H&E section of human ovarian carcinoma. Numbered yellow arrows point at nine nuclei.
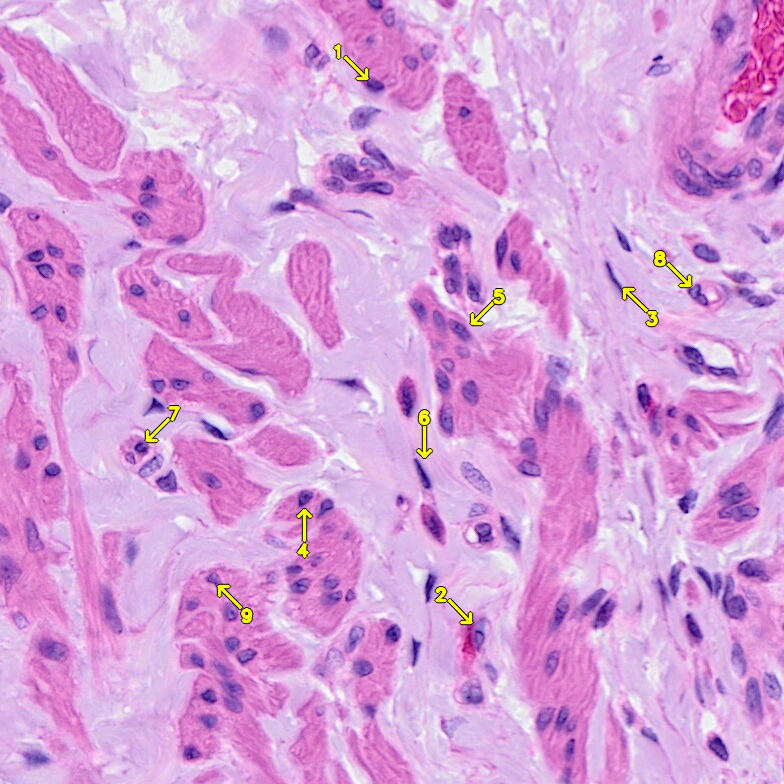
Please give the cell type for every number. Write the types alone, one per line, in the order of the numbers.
smooth muscle cell
endothelial cell
fibroblast
smooth muscle cell
smooth muscle cell
fibroblast
endothelial cell
endothelial cell
smooth muscle cell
